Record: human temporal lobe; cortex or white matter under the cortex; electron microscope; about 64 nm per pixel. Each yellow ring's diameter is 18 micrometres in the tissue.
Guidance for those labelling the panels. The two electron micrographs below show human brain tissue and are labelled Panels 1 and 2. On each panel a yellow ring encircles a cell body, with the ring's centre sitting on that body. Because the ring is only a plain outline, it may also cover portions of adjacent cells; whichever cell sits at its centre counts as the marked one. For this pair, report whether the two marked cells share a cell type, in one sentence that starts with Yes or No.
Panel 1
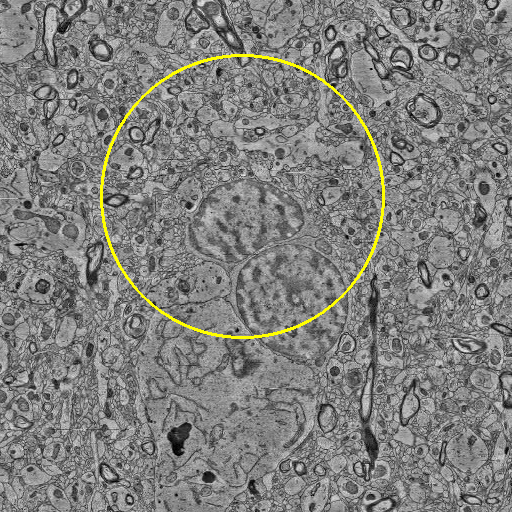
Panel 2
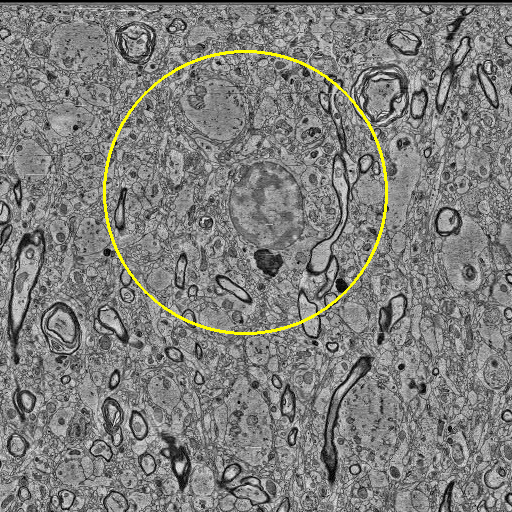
Yes, in Panel 1 and Panel 2 the marked cells at the ring centres share one type.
